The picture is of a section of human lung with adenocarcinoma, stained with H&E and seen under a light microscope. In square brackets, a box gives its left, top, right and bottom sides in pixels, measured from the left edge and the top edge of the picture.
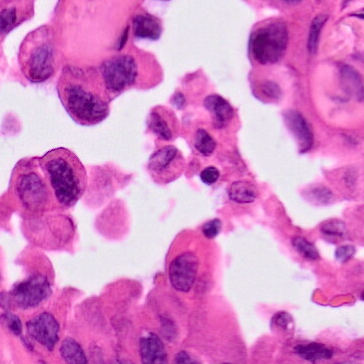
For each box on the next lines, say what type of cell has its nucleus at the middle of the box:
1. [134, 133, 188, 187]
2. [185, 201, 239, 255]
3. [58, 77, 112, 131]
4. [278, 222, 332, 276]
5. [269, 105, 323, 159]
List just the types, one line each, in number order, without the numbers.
macrophage or monocyte
lymphocyte
carcinoma cell
macrophage or monocyte
carcinoma cell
